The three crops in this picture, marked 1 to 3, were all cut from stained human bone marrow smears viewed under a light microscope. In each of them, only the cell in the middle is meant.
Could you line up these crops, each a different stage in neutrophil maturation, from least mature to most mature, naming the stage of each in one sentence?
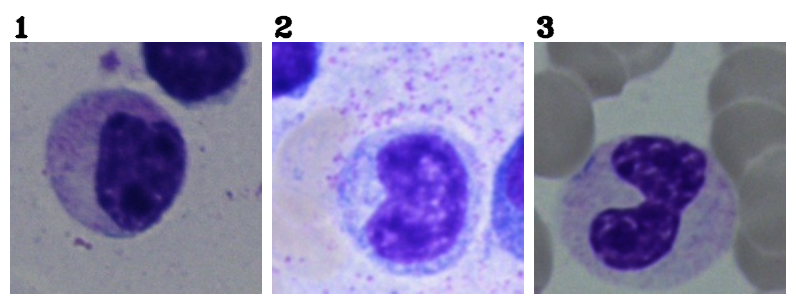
From least mature to most mature, the crops fall in the order crop 1 (a myelocyte), crop 2 (a metamyelocyte) and crop 3 (a band neutrophil).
